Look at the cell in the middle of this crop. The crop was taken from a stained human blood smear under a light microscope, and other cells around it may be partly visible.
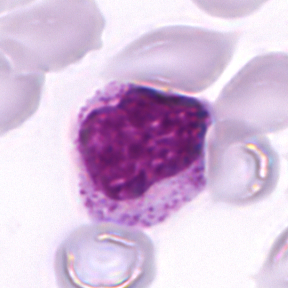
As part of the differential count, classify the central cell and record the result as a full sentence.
Standing at the centre of this crop is a band neutrophil.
